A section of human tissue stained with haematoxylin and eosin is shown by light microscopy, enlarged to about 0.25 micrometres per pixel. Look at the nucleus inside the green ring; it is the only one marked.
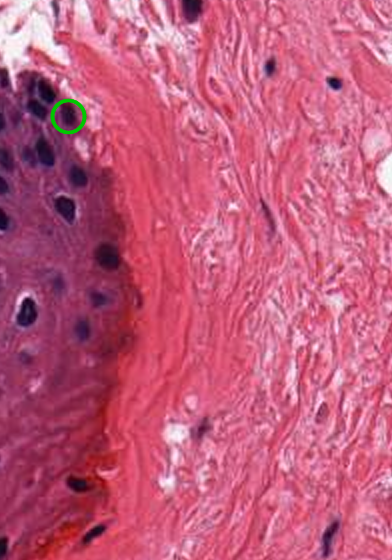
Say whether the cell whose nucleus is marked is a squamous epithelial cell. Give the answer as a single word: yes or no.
yes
